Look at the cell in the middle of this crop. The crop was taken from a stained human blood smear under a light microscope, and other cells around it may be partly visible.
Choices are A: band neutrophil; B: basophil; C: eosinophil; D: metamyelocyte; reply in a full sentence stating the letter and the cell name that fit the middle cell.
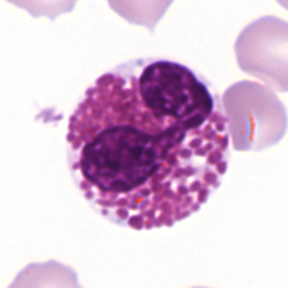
The cell positioned centrally is an eosinophil, as given in option C, which is correct.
